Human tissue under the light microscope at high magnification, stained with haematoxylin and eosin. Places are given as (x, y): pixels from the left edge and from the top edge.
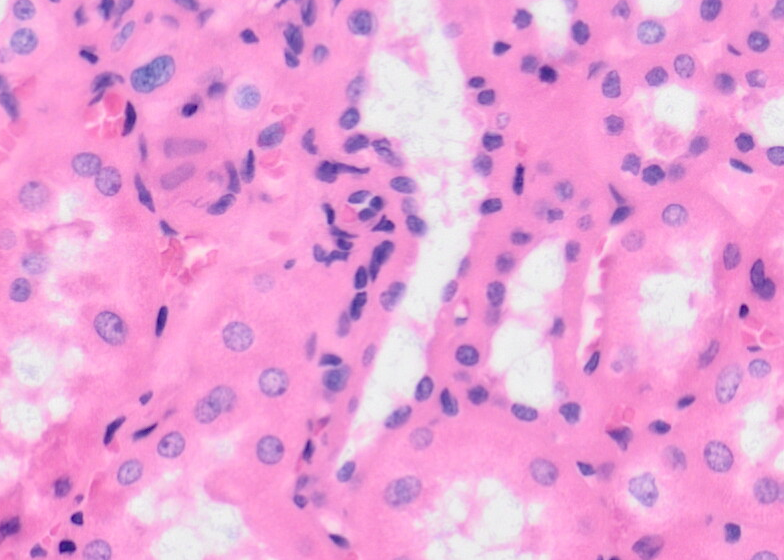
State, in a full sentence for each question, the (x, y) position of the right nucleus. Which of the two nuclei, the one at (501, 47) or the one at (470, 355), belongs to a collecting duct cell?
The nucleus at (470, 355), rather than the other one, belongs to a collecting duct cell.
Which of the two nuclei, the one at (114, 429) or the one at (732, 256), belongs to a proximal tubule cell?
The one at (732, 256) is the nucleus belonging to a proximal tubule cell, not the other one.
